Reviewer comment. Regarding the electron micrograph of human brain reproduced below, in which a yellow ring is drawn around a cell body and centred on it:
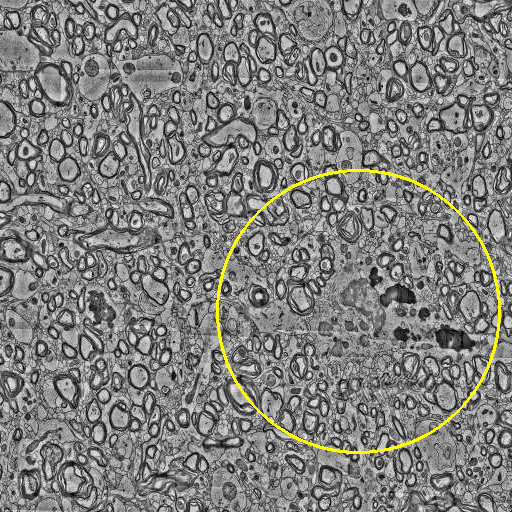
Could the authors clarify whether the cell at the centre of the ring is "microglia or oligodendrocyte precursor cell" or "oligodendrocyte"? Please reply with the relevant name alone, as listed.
oligodendrocyte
